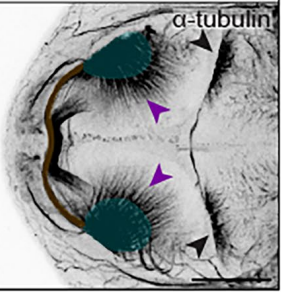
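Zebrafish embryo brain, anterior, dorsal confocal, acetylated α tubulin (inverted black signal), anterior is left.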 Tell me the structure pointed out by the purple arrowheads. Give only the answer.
Projections emanating from the optic neuropils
